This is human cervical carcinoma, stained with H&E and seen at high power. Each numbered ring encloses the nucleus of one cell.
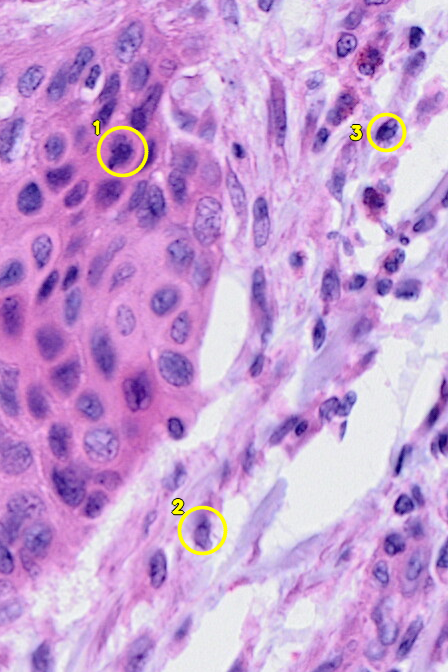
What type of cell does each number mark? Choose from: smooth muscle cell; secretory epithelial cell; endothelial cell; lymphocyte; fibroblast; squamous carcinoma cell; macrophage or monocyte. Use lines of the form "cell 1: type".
cell 1: squamous carcinoma cell
cell 2: fibroblast
cell 3: lymphocyte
